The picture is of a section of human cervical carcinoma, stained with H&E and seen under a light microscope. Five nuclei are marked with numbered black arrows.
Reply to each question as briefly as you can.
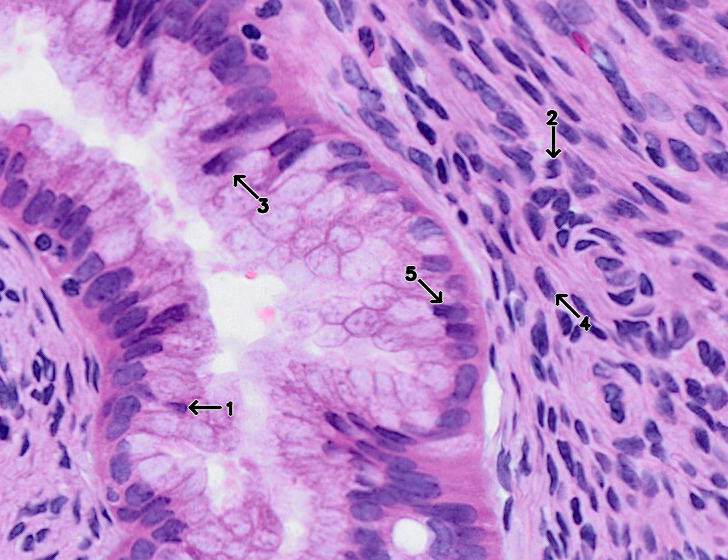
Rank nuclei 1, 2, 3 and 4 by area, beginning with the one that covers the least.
1, 2, 4, 3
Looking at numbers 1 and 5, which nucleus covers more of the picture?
5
